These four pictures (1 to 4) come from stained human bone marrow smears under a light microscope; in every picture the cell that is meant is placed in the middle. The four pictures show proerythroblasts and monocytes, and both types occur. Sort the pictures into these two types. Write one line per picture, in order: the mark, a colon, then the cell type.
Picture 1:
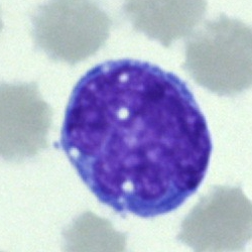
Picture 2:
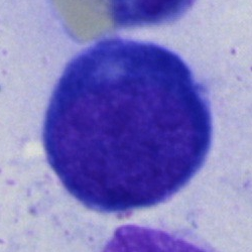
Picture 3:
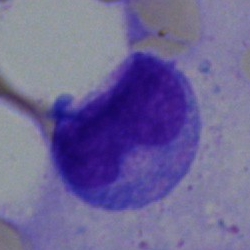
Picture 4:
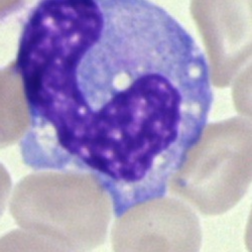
1: monocyte
2: proerythroblast
3: monocyte
4: monocyte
